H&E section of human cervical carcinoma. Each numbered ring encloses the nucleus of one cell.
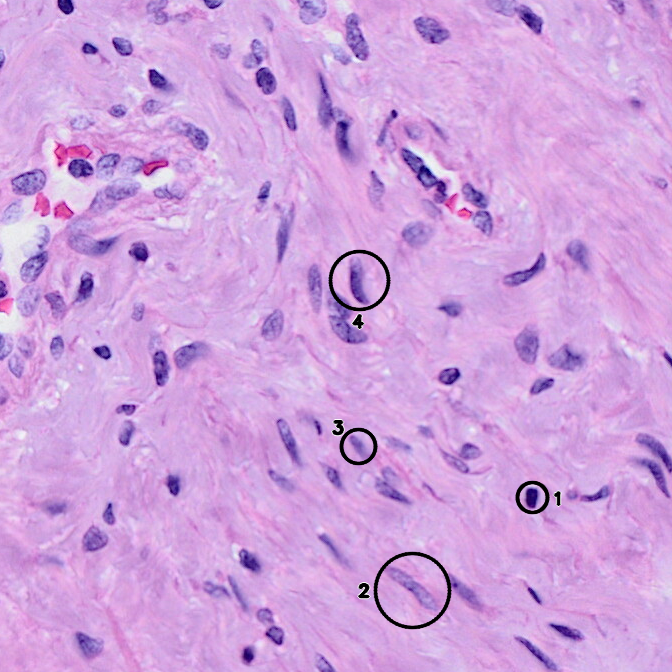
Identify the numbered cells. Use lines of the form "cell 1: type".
cell 1: lymphocyte
cell 2: smooth muscle cell
cell 3: fibroblast
cell 4: fibroblast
